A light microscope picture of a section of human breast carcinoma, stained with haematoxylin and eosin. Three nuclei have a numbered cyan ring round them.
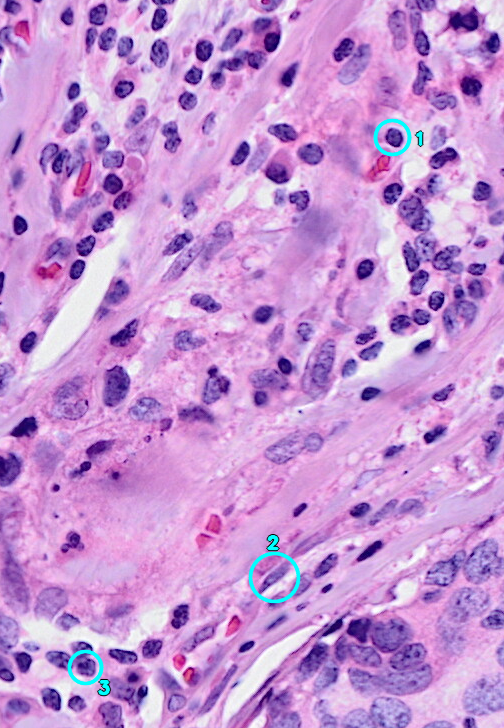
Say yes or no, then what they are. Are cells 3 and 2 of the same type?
No, cell 3 is a lymphocyte and cell 2 is a fibroblast.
